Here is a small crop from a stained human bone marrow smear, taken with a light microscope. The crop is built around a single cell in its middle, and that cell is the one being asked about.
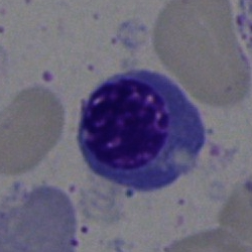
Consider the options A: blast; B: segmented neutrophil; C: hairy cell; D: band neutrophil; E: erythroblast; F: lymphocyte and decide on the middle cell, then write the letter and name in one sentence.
For this crop, option E is right, the centered cell being an erythroblast.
